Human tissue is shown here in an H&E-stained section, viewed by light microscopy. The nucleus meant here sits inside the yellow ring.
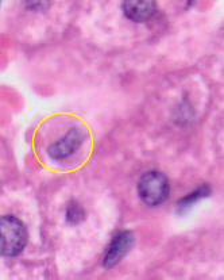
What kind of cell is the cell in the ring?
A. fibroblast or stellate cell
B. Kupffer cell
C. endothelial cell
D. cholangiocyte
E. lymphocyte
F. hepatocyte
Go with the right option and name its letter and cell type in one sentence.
Here the correct option is B, since the cell in the ring is a Kupffer cell.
